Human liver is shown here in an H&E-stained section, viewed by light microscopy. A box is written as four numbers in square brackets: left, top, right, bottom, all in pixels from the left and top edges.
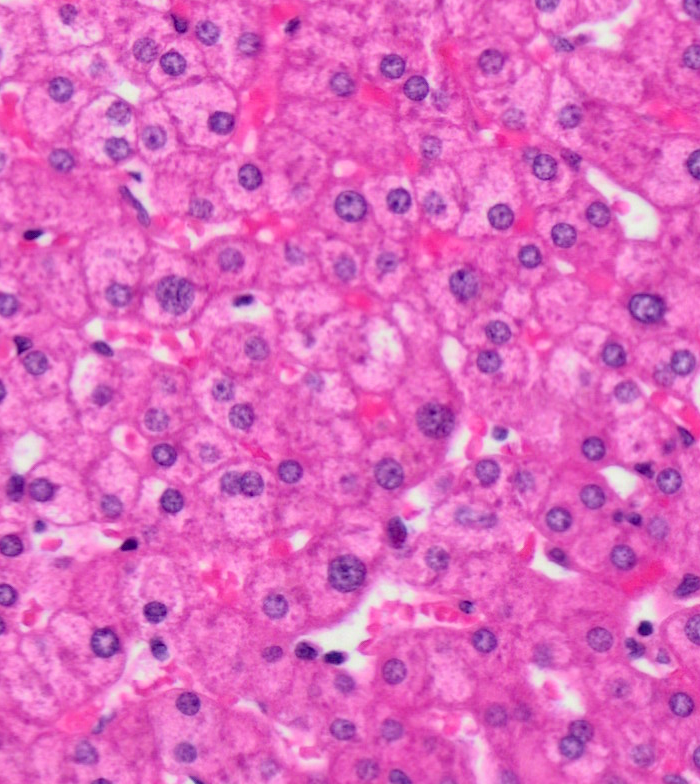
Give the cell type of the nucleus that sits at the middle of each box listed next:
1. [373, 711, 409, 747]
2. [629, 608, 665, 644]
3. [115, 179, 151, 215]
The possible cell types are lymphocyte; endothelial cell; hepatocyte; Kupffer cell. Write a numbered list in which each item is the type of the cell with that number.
1. hepatocyte
2. lymphocyte
3. Kupffer cell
